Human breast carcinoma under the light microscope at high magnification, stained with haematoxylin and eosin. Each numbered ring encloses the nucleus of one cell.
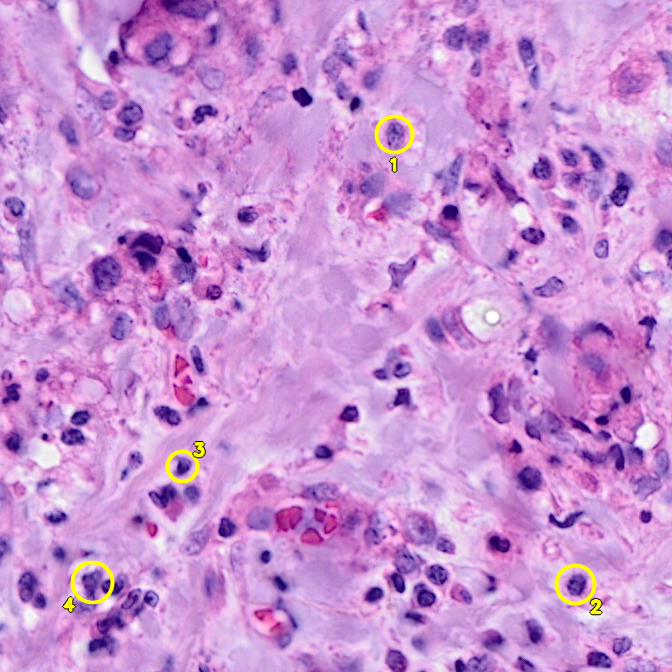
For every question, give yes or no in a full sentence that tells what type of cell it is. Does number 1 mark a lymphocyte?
No, the cell marked 1 is a mast cell rather than a lymphocyte.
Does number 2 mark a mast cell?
Yes, the cell indicated by number 2 is a mast cell.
